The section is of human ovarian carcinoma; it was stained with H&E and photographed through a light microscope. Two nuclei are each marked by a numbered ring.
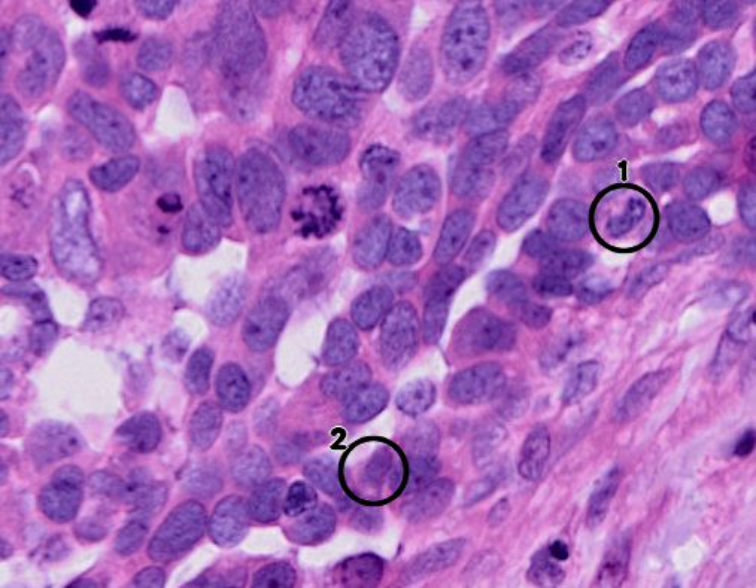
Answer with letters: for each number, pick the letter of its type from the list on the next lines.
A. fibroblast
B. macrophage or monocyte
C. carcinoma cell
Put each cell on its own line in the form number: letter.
1: B
2: C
